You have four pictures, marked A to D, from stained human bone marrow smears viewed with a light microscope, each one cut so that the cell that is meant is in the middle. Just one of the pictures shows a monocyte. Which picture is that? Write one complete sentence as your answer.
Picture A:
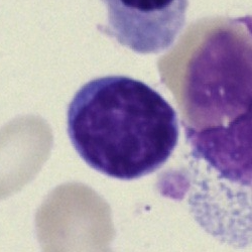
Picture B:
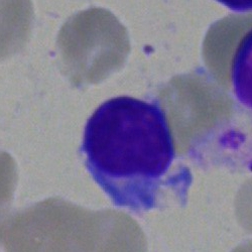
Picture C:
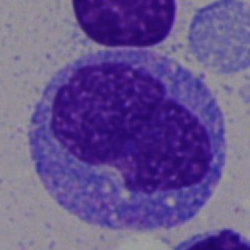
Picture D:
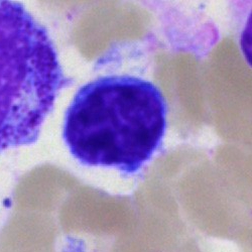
The monocyte is the one in picture C.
